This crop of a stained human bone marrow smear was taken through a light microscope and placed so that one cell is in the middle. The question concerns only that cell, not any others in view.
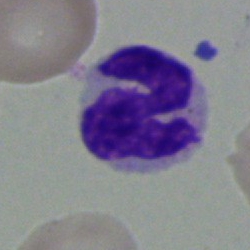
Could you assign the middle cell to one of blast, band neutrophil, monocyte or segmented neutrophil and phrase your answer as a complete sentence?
In short, the cell at the center is a segmented neutrophil.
